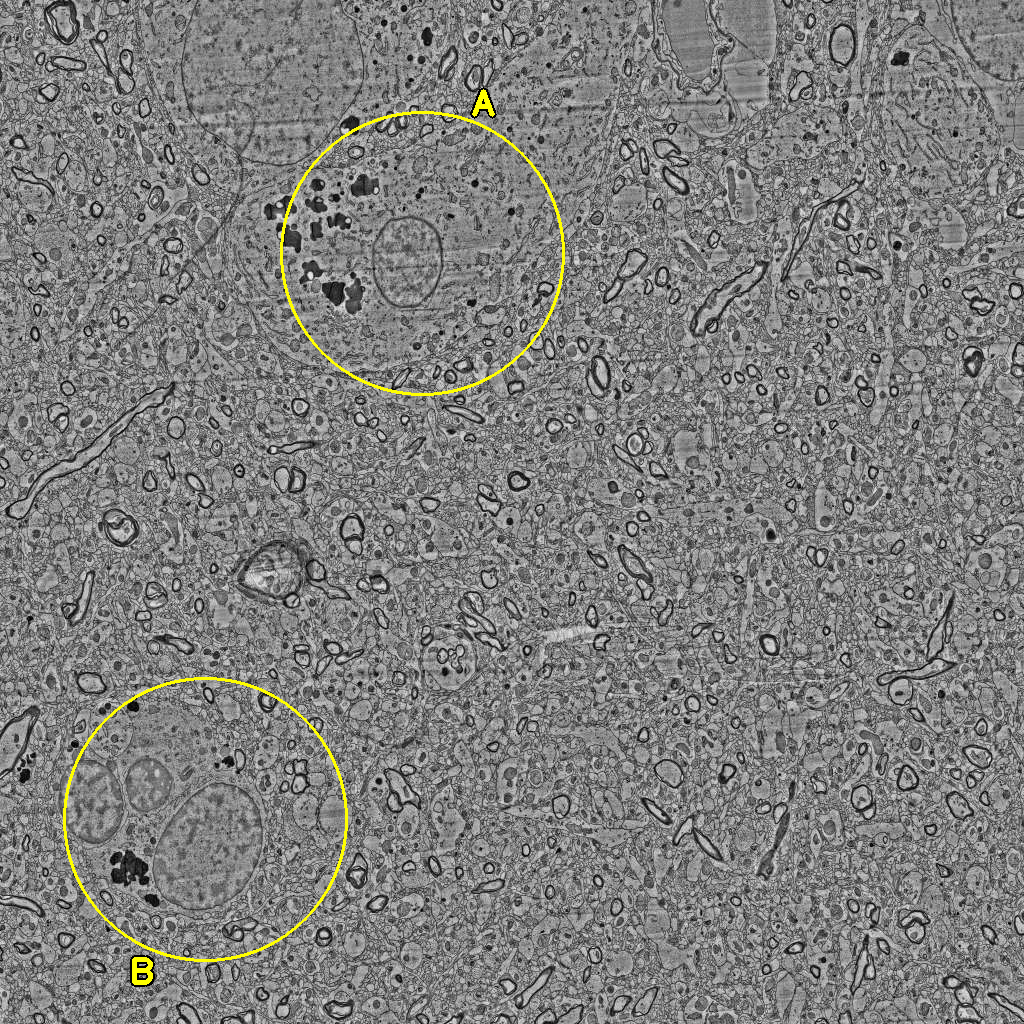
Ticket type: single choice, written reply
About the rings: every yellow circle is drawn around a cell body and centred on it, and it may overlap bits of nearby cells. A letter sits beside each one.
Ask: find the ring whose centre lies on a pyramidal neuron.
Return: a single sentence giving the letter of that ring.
At the centre of the ring marked A lies the cell asked for.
